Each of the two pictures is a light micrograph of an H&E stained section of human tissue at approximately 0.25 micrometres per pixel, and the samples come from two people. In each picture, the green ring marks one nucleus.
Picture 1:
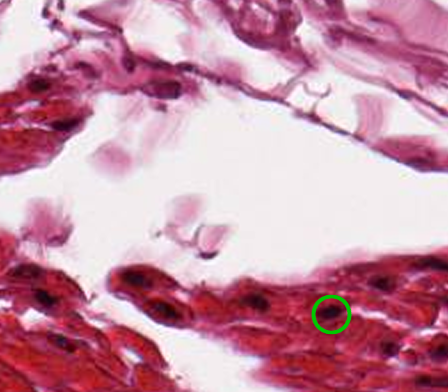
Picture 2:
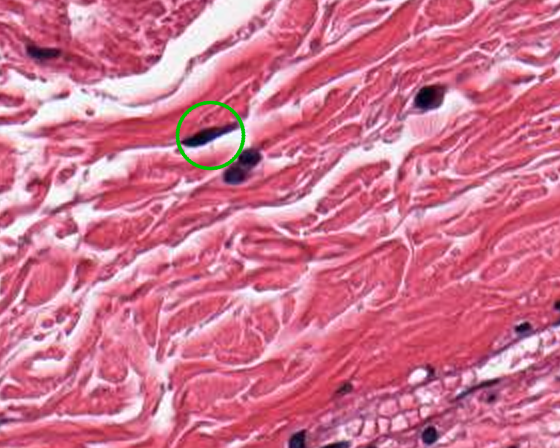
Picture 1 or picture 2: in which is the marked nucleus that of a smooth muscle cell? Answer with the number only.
1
